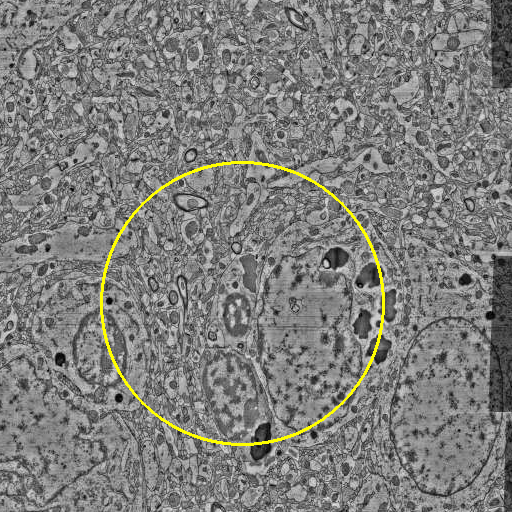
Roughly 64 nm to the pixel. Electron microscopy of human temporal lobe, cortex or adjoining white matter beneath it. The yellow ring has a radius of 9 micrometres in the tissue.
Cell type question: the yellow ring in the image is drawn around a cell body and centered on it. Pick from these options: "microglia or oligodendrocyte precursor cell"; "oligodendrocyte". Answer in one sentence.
The ringed cell at the center is a microglial cell or oligodendrocyte precursor cell.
